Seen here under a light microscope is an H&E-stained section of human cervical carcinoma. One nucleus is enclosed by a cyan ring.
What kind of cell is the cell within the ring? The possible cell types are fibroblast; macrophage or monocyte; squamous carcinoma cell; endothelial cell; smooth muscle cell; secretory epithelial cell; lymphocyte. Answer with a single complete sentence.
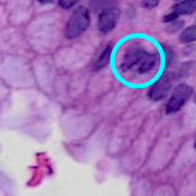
In this section of tissue, the cell within the ring is a secretory epithelial cell.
